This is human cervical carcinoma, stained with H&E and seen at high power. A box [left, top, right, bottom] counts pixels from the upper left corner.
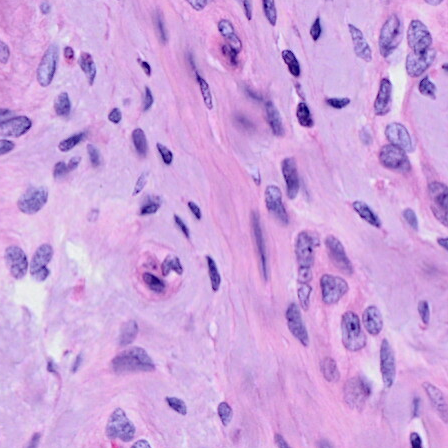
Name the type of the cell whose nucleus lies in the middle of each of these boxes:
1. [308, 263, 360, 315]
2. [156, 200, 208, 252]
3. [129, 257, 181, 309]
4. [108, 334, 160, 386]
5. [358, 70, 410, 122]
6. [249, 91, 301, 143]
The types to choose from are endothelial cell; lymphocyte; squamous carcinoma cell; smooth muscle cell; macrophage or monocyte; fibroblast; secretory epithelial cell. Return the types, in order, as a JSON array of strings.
["endothelial cell", "fibroblast", "endothelial cell", "fibroblast", "endothelial cell", "fibroblast"]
